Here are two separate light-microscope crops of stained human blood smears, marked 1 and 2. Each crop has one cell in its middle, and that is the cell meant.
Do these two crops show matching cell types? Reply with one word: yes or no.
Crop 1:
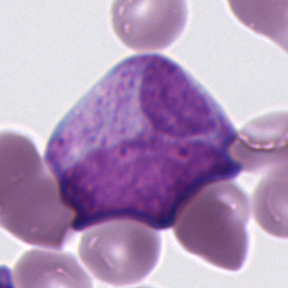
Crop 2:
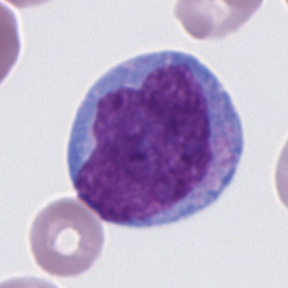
yes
